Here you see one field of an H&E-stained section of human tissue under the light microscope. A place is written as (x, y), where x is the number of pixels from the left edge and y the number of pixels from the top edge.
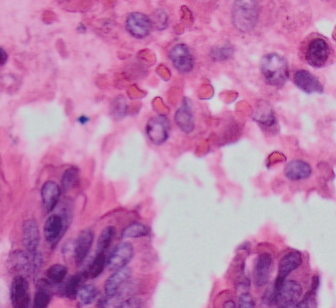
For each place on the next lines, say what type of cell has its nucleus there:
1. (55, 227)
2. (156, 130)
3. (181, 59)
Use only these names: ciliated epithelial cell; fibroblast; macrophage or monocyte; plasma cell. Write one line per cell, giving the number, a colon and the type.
1: ciliated epithelial cell
2: macrophage or monocyte
3: macrophage or monocyte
